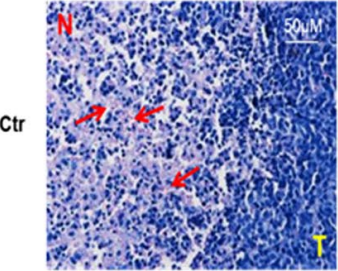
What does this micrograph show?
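Section of a tumor that shows a necrotic area beside viable tumor tissue. On the right, the tumor area is a dense sheet of closely packed cells whose dark blue nuclei crowd together, leaving little visible cytoplasm. On the upper left, the necrotic area is paler and pinker and holds fewer cells.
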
